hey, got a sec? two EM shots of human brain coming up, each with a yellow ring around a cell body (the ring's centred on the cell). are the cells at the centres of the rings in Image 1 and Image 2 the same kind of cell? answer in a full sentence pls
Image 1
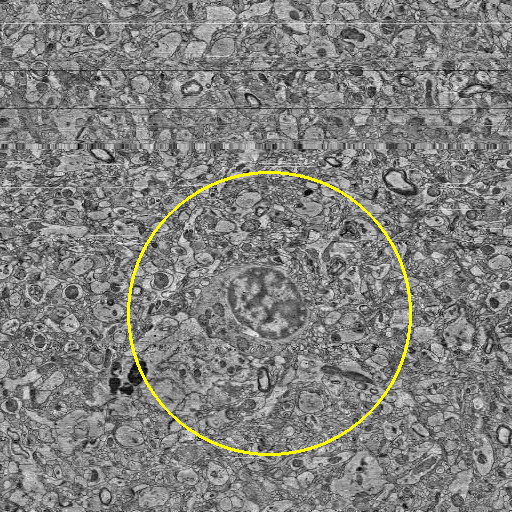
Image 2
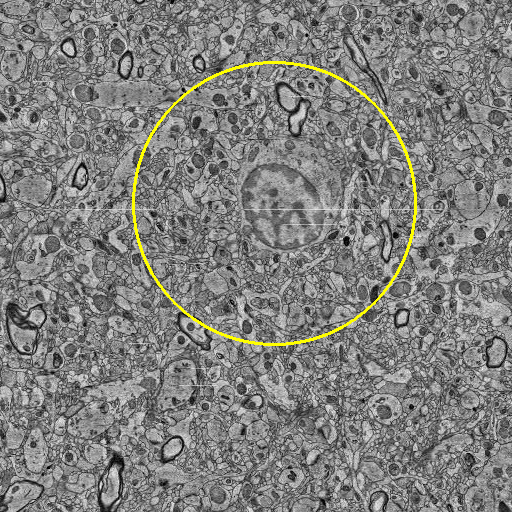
Yes, both are the same kind of cell.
